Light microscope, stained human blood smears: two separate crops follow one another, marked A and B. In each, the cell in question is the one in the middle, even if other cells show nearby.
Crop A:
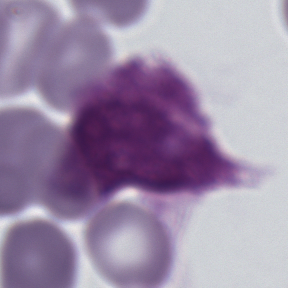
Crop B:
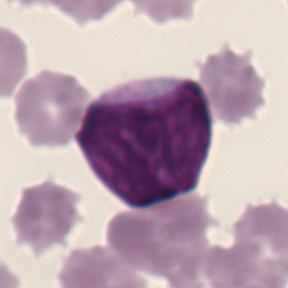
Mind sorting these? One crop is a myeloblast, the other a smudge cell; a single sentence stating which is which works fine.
The cell at the centre of crop A is a smudge cell, and at the centre of crop B, a myeloblast.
